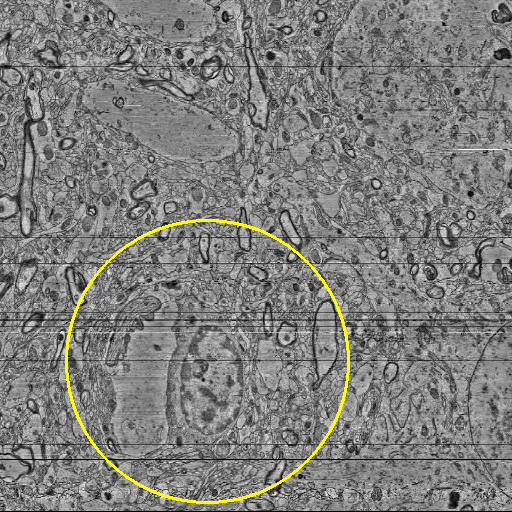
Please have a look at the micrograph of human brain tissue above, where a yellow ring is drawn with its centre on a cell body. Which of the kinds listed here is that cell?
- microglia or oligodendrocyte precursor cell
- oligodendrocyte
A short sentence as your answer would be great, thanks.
At the centre of the ring sits an oligodendrocyte.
